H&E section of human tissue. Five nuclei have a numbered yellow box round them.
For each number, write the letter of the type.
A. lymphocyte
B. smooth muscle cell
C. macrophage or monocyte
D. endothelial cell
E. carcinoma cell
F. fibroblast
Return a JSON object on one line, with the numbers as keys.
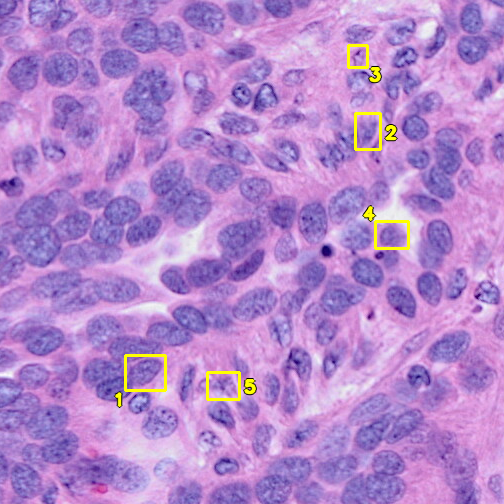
{"1": "E", "2": "F", "3": "F", "4": "E", "5": "F"}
